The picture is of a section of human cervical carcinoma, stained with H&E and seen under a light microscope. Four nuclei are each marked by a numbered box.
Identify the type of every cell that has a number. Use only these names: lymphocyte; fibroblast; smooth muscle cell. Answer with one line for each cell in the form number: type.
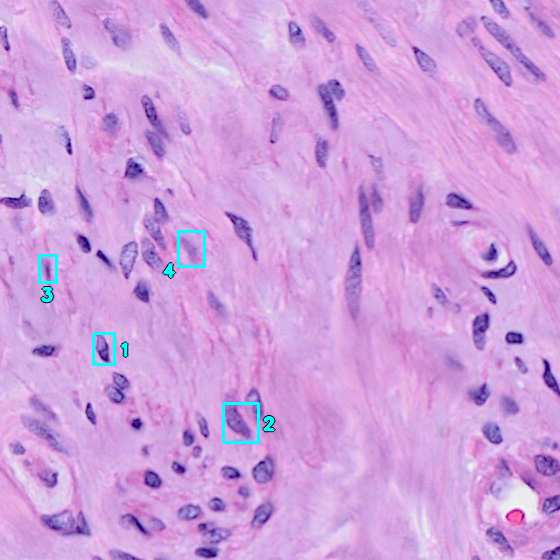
1: fibroblast
2: smooth muscle cell
3: fibroblast
4: smooth muscle cell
